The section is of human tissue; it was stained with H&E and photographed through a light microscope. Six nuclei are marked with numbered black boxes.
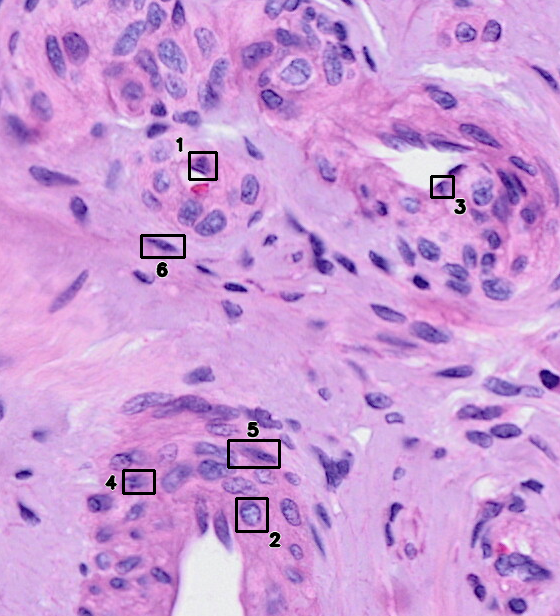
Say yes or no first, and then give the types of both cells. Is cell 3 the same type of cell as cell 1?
Yes, that is right: cells 3 and 1 are both endothelial cells.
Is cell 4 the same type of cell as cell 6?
No, cell 4 is a smooth muscle cell, with cell 6 being a fibroblast.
